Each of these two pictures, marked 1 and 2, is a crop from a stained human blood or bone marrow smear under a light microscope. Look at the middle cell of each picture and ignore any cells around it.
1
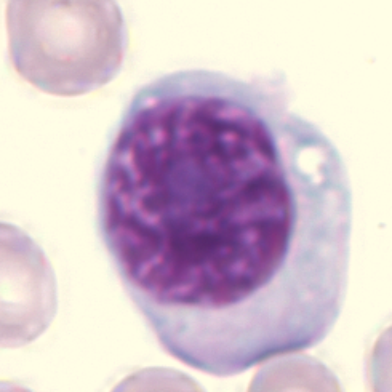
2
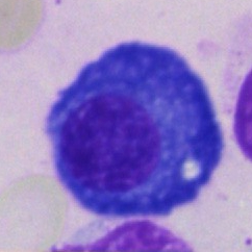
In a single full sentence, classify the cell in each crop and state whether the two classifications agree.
Yes, the cells of interest in both crops are plasma cells.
